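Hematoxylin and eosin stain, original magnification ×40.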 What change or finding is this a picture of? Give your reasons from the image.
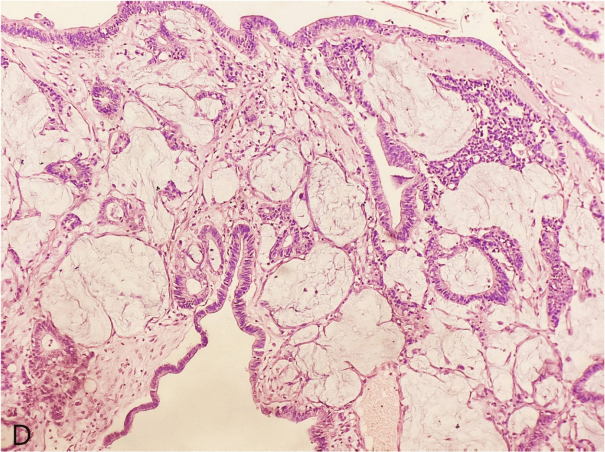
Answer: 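Large pale, faintly stained pools fill much of the field. Thin septa separate the pools. The answer: extracellular mucinous pool.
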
